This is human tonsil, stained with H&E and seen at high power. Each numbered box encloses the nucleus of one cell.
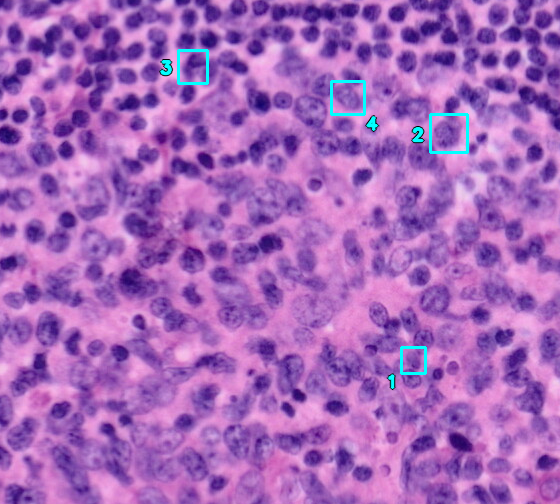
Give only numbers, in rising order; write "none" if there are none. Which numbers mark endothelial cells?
none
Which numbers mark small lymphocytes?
3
